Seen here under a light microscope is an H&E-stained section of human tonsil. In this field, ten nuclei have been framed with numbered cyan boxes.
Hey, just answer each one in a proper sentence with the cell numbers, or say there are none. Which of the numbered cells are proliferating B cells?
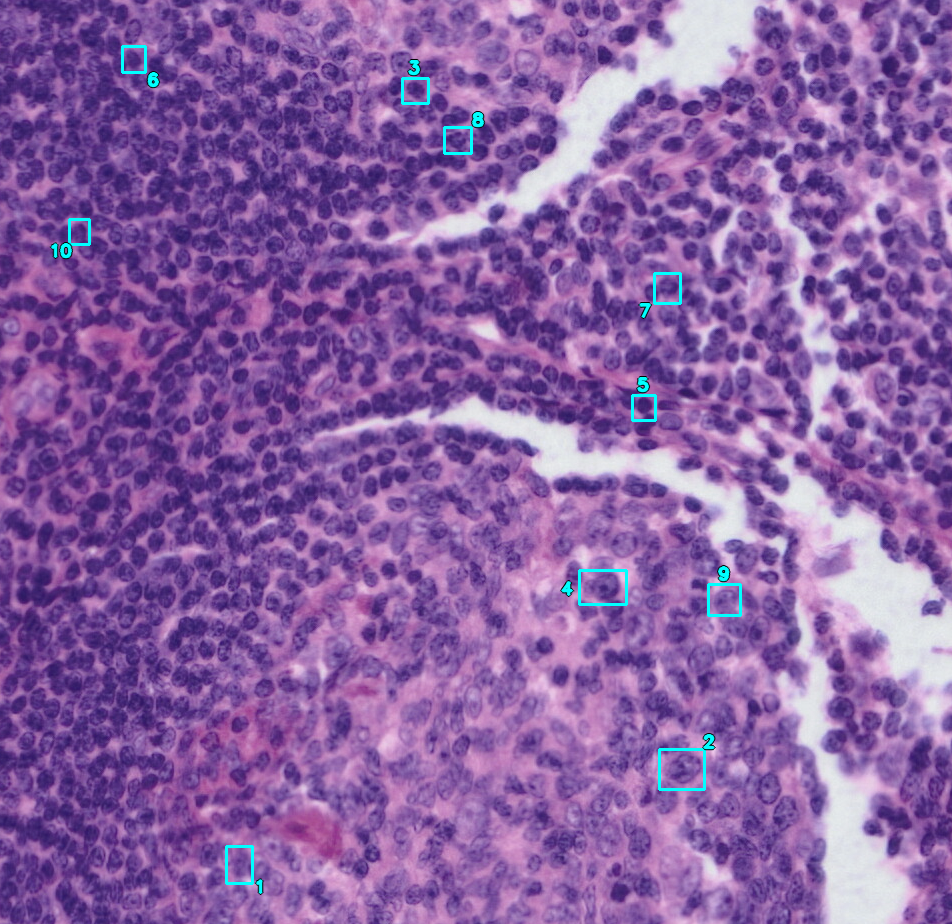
Within this tissue, the cells numbered 1, 2, 4 and 9 are proliferating B cells.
